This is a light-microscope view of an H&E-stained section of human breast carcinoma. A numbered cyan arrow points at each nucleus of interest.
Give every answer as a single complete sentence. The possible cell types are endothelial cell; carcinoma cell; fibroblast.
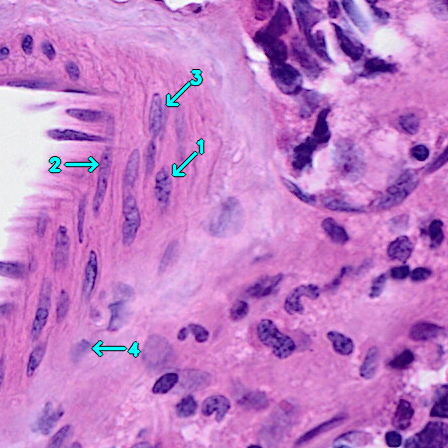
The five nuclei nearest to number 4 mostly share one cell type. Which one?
Of the five nuclei nearest to number 4, most belong to endothelial cells.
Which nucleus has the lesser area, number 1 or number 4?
It is nucleus 4; nucleus 1 has about 2.5 times its area.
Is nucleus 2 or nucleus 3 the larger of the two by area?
The larger nucleus is 3, at roughly 2 times the area of 2.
